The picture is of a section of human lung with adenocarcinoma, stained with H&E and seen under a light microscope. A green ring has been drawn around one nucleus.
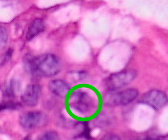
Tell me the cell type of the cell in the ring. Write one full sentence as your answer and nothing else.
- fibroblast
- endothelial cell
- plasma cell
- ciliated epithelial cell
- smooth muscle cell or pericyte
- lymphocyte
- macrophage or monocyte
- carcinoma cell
Students should answer that the cell in the ring is a ciliated epithelial cell.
